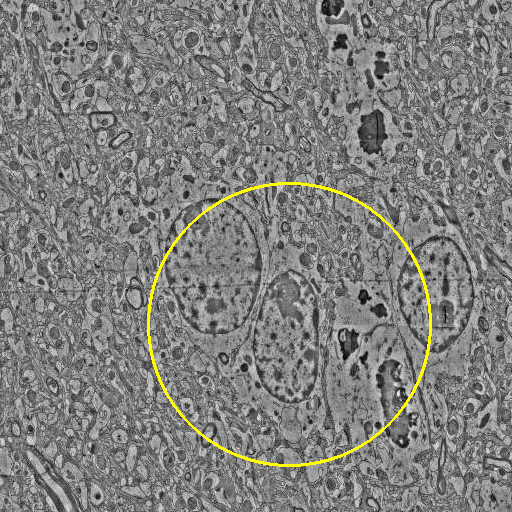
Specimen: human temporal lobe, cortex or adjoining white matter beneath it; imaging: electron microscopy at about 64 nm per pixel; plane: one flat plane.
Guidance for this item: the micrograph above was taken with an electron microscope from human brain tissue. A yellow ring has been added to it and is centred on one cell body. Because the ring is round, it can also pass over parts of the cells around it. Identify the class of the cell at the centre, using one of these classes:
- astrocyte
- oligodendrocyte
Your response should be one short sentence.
The ring surrounds the body of an astrocyte.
